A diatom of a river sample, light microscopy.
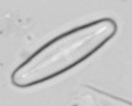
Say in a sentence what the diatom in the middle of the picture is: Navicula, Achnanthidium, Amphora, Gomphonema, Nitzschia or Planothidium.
This is Achnanthidium.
